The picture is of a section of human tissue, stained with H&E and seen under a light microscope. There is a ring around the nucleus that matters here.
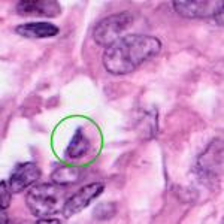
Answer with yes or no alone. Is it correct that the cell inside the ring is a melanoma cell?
yes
